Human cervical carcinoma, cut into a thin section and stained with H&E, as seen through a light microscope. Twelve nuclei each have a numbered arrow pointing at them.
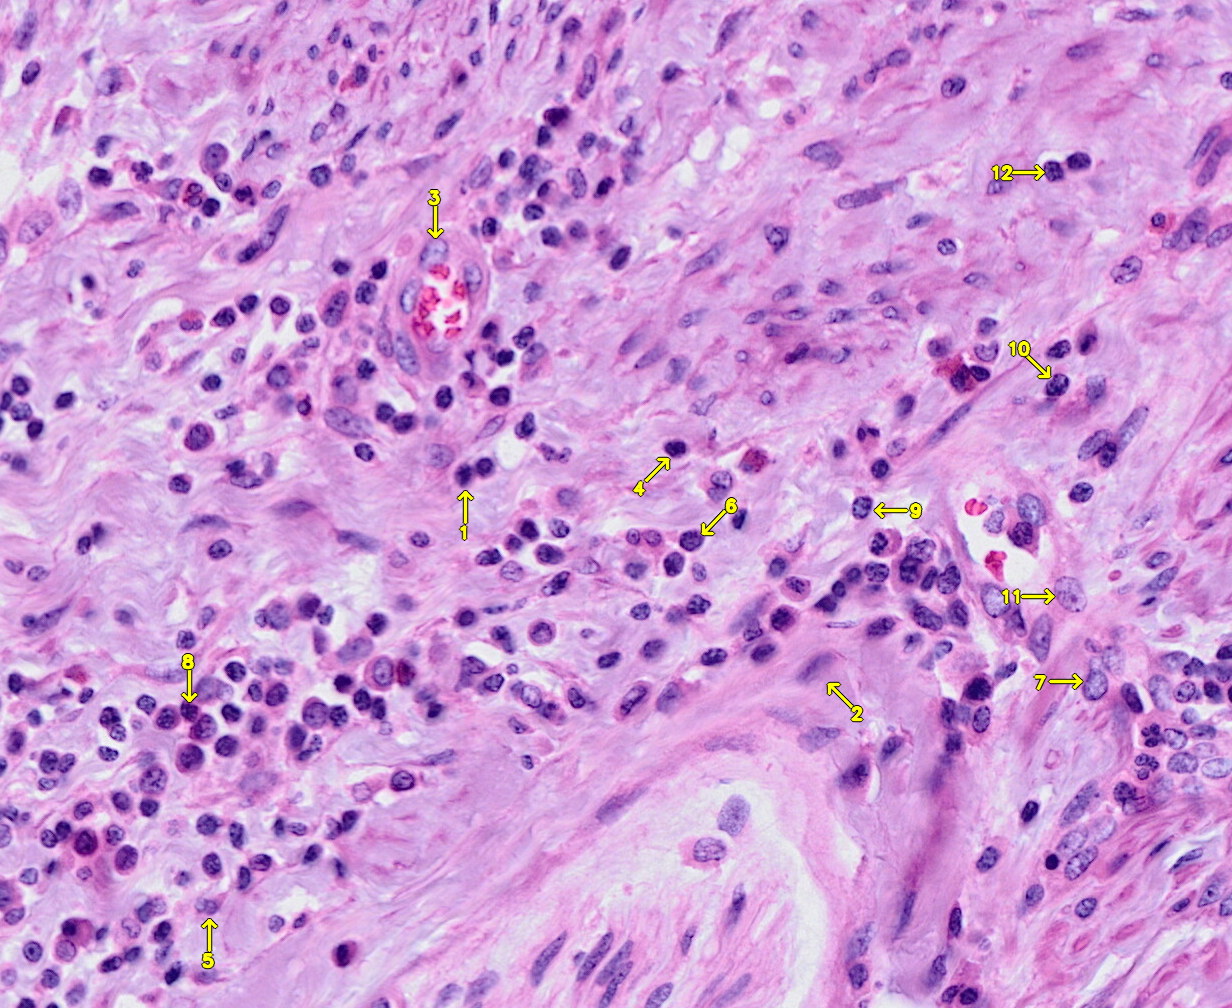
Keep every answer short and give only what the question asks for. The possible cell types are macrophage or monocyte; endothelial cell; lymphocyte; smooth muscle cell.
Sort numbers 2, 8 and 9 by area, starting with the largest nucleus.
2, 9, 8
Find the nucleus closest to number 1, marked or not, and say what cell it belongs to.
lymphocyte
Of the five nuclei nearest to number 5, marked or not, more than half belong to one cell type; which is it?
lymphocyte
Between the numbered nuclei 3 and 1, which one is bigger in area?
3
